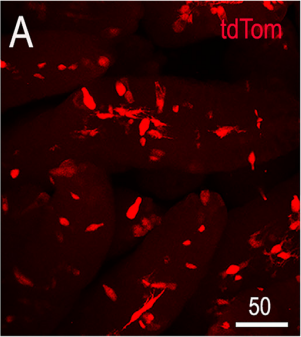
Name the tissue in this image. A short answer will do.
Intestinal villi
